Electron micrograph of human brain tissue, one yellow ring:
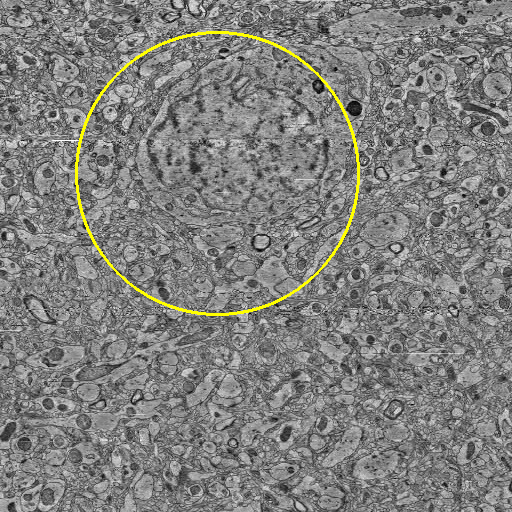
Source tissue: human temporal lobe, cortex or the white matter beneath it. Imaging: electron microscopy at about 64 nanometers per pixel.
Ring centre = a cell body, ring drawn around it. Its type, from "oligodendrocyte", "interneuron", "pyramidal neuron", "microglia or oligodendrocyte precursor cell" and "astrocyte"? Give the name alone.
interneuron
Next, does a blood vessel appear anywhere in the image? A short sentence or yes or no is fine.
No, no vessel appears in the picture.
